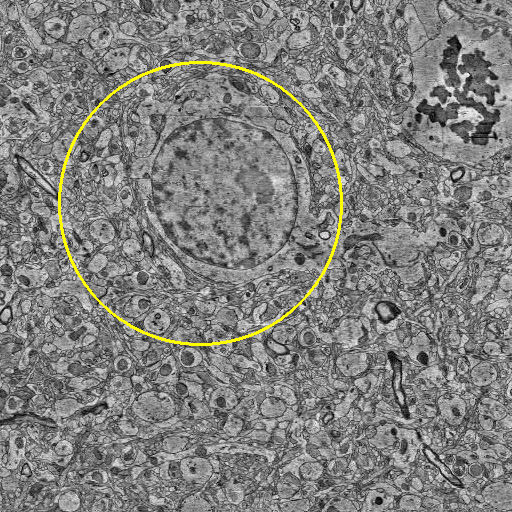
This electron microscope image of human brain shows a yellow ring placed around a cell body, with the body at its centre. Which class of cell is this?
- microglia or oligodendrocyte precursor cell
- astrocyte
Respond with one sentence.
The cell body at the ring's centre is an astrocyte.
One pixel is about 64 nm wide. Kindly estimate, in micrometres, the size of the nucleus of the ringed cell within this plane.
Roughly 10 micrometres across, measured in this plane.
